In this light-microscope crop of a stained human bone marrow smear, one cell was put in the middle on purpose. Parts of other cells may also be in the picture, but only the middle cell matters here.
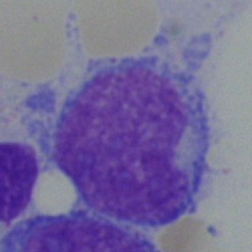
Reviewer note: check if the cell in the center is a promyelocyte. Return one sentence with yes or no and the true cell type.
No, the cell of interest here is a blast and not a promyelocyte.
